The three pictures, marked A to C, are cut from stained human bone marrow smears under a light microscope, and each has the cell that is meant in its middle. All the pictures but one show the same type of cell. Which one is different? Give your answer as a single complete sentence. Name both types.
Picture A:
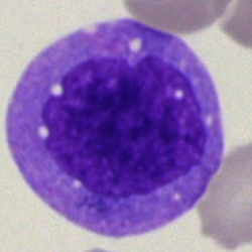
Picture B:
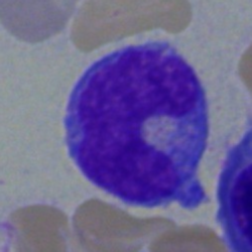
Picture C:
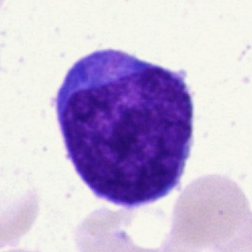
Picture C is the odd one out: it shows a blast, while the others show monocytes.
